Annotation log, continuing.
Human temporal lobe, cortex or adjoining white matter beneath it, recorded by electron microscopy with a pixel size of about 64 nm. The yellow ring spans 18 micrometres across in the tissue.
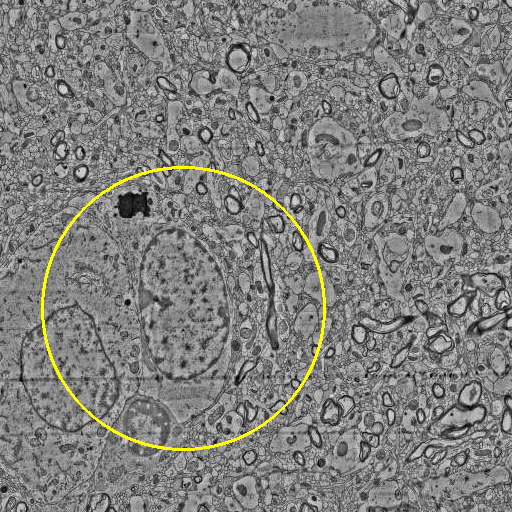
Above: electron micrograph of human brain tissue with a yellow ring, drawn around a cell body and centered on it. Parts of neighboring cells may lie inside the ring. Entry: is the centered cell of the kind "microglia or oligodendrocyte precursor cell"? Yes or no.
Yes, the centered cell is of that kind.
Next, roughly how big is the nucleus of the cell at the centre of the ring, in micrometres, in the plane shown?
In this plane the nucleus is clearly longer than it is wide: roughly 10 by 6 micrometres.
